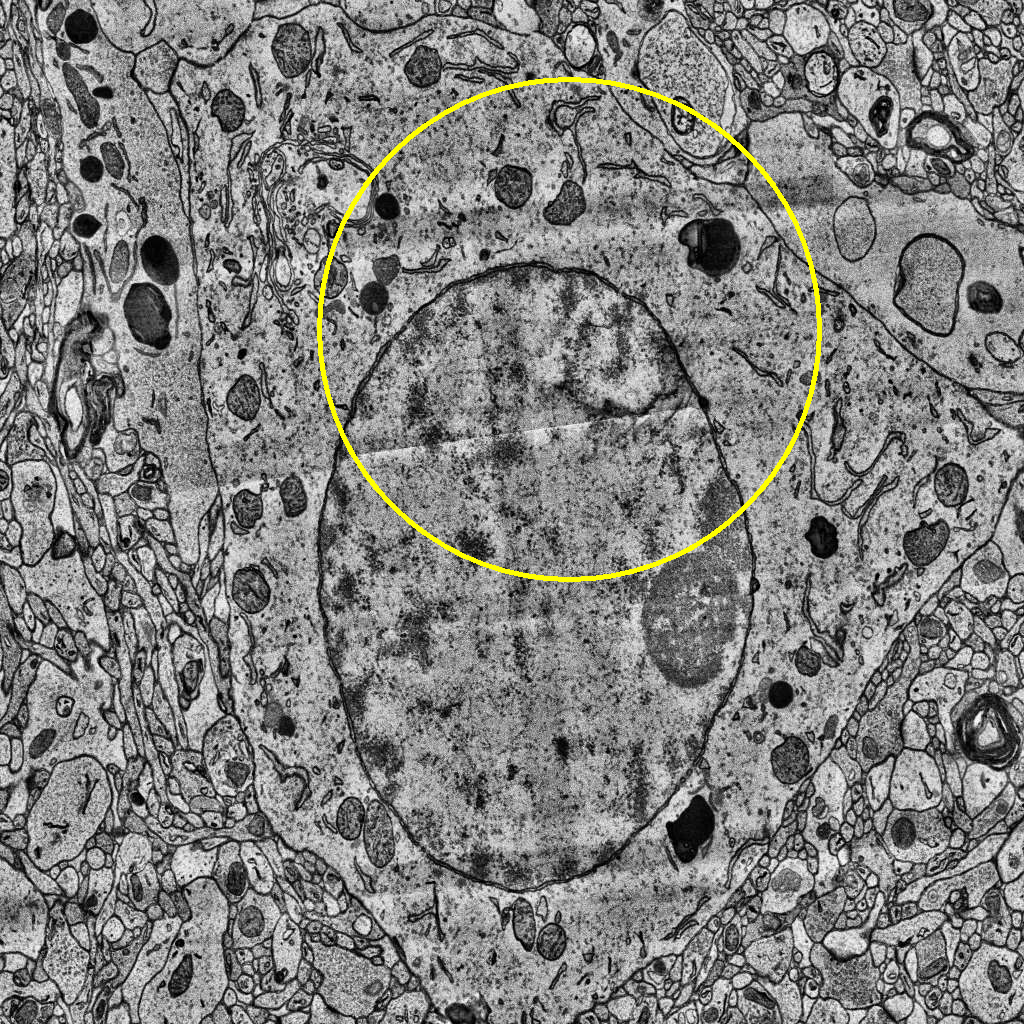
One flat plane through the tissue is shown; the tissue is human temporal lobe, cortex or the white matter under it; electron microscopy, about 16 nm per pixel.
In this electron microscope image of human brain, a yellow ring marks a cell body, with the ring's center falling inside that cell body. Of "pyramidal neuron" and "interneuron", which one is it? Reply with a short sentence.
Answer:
It is a pyramidal neuron at the center of the ring.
